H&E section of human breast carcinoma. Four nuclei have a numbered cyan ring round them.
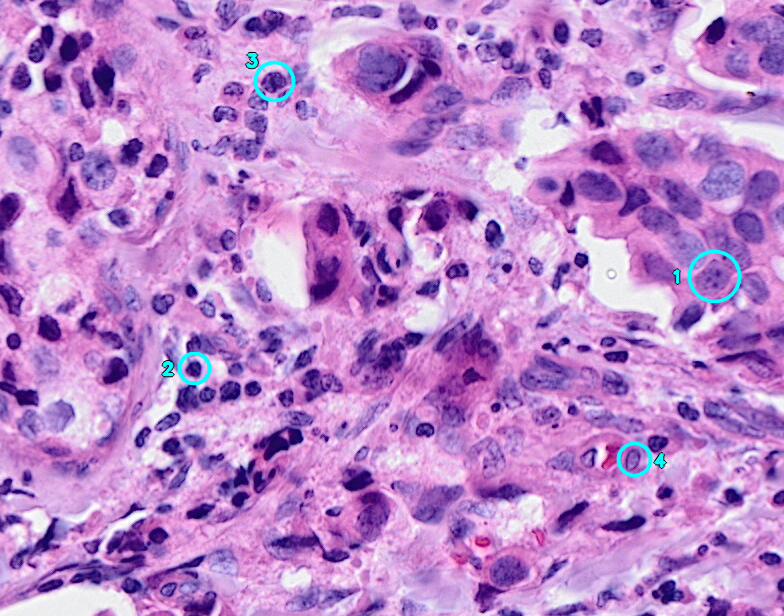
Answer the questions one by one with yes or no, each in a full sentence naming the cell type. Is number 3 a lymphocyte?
Yes, and to answer plainly, cell 3 is a lymphocyte.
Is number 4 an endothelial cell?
Yes, the cell identified as number 4 is an endothelial cell.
